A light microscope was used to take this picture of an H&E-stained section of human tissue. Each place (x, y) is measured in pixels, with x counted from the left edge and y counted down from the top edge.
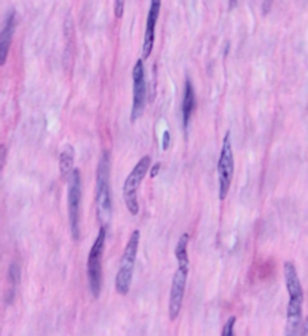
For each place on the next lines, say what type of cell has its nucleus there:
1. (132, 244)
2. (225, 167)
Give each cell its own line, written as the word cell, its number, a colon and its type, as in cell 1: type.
cell 1: smooth muscle cell
cell 2: fibroblast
